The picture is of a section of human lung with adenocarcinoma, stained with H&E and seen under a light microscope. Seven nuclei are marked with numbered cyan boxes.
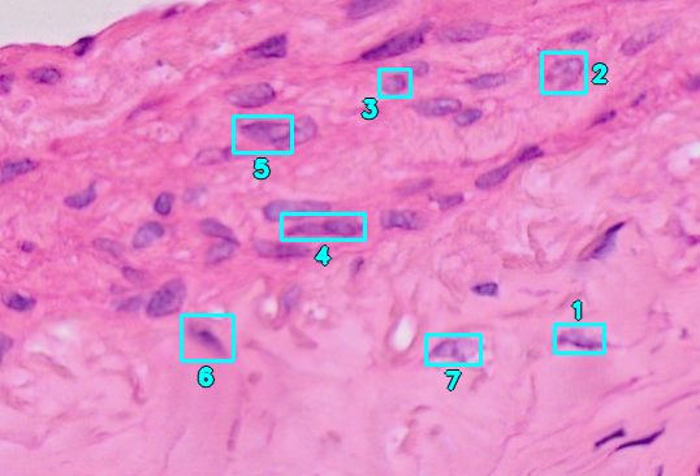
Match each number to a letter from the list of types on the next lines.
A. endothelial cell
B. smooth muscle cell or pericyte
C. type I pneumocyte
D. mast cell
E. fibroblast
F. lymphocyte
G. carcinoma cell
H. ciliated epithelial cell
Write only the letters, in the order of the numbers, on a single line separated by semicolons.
E; B; B; B; B; E; E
